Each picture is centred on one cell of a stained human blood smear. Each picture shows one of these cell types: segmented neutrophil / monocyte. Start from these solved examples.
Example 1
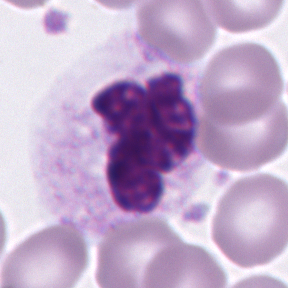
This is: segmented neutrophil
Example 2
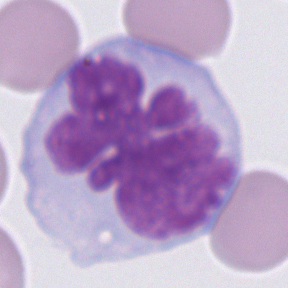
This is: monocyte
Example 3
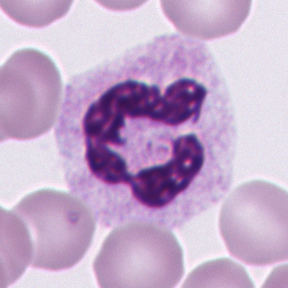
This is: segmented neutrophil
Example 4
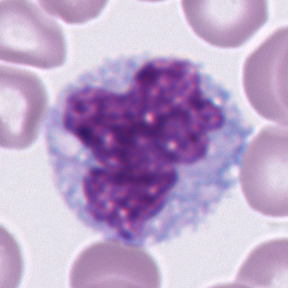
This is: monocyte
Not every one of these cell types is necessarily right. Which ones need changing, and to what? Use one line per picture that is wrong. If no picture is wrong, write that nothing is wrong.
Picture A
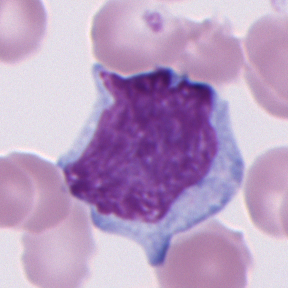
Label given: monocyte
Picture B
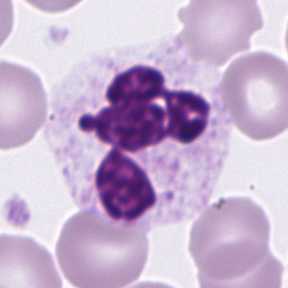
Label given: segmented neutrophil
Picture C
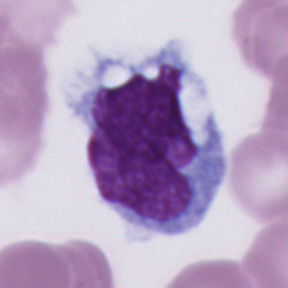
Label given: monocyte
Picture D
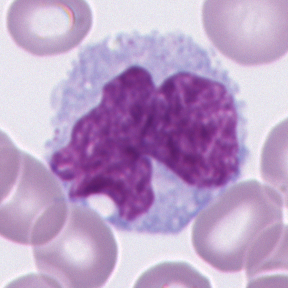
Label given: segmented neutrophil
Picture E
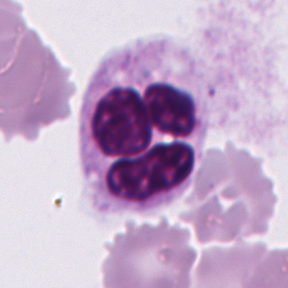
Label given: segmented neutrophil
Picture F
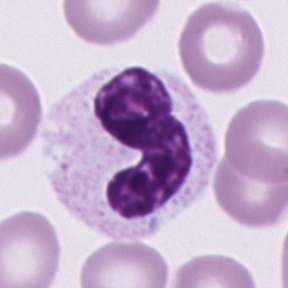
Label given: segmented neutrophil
D: monocyte, not segmented neutrophil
